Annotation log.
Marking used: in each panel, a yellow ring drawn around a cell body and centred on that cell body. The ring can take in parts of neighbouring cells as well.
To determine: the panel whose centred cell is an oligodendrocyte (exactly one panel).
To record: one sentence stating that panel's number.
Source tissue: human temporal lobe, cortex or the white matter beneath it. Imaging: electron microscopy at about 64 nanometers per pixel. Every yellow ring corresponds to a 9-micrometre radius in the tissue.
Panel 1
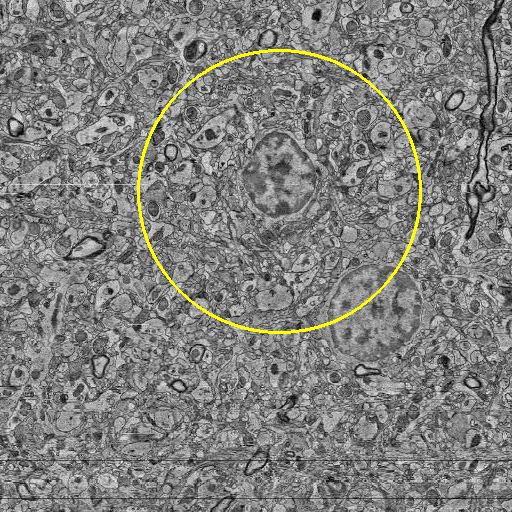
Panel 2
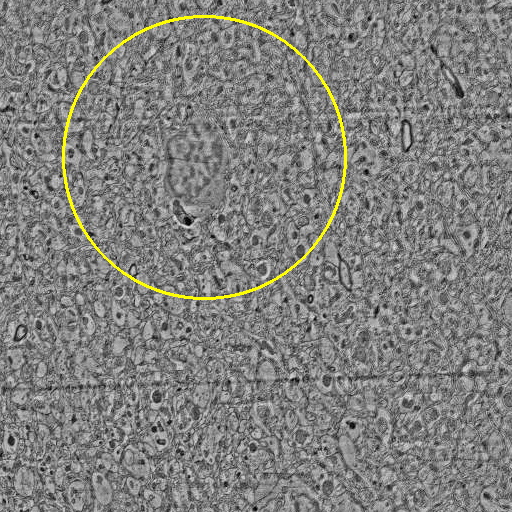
Panel 2 shows it at the centre of its ring.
